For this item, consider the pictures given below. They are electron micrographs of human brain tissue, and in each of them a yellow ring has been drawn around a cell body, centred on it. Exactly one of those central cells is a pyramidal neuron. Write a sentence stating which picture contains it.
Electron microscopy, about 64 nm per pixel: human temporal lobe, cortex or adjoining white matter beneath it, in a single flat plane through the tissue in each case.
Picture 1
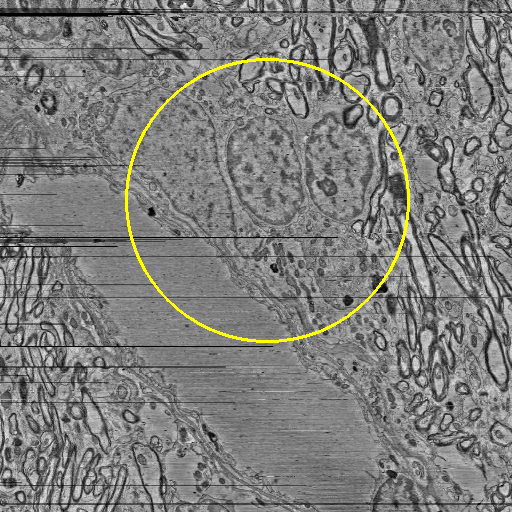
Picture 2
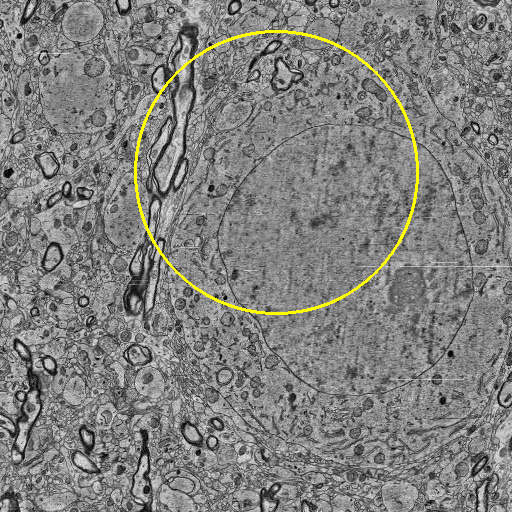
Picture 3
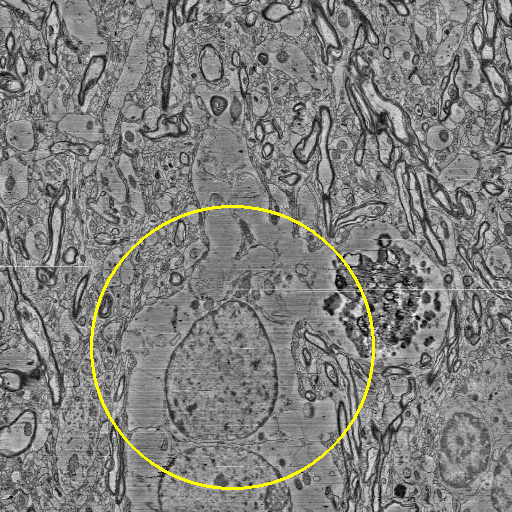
It is in Picture 2.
